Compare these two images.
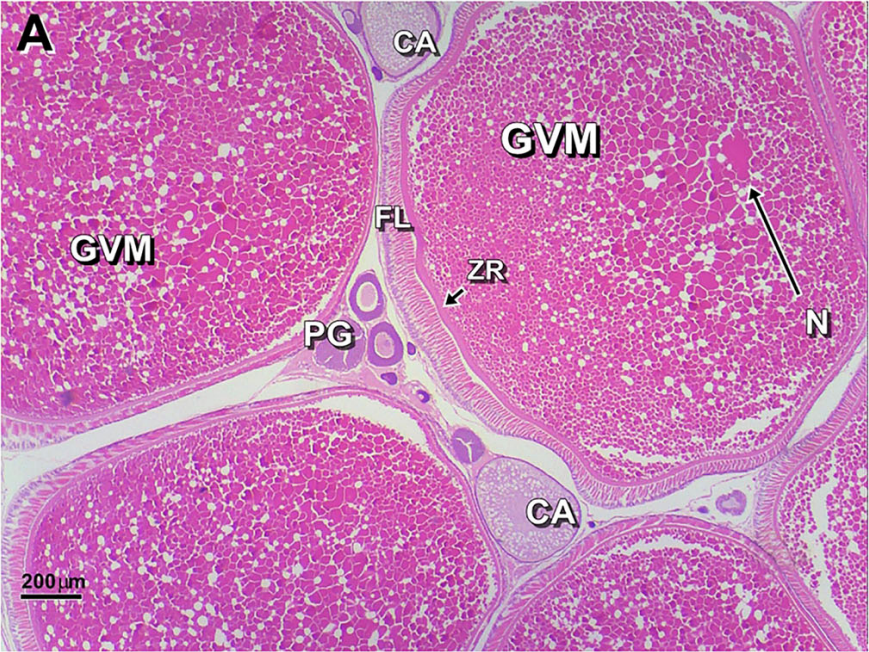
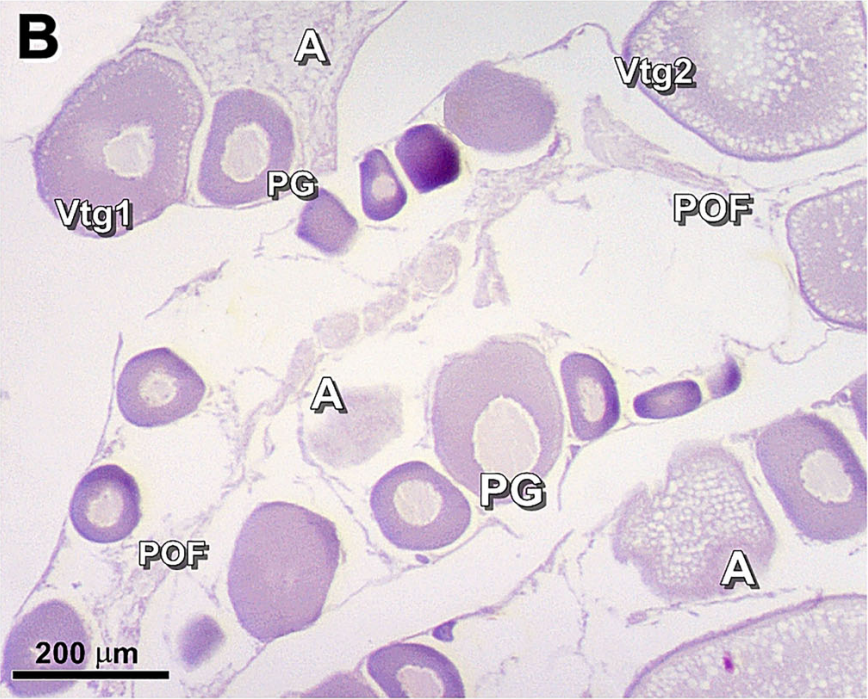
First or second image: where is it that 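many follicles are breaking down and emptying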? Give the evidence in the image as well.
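Second image: pale, collapsed follicles and empty loose spaces lie among small oocytes. First image: large intact yolk-filled oocytes fill nearly the whole field. The answer: the second image.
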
